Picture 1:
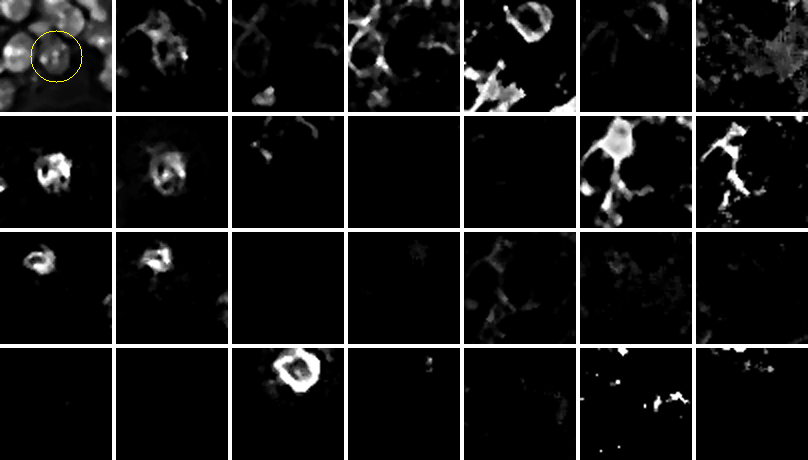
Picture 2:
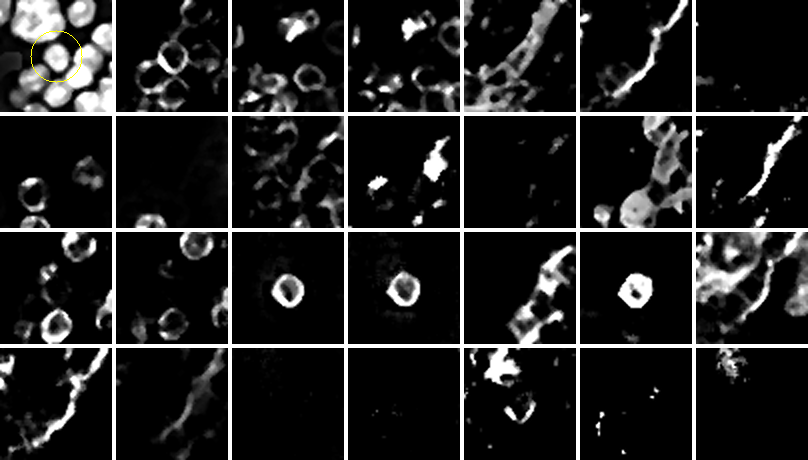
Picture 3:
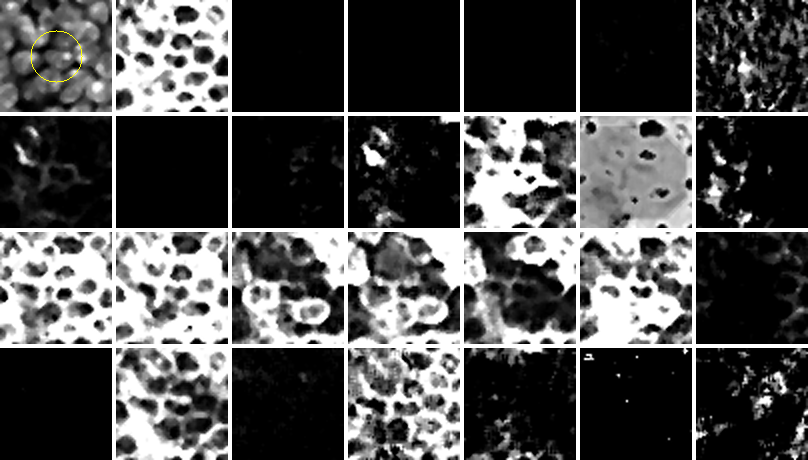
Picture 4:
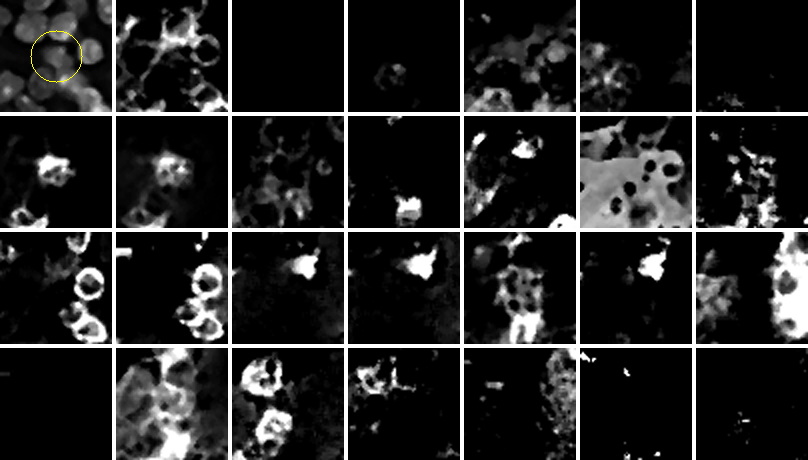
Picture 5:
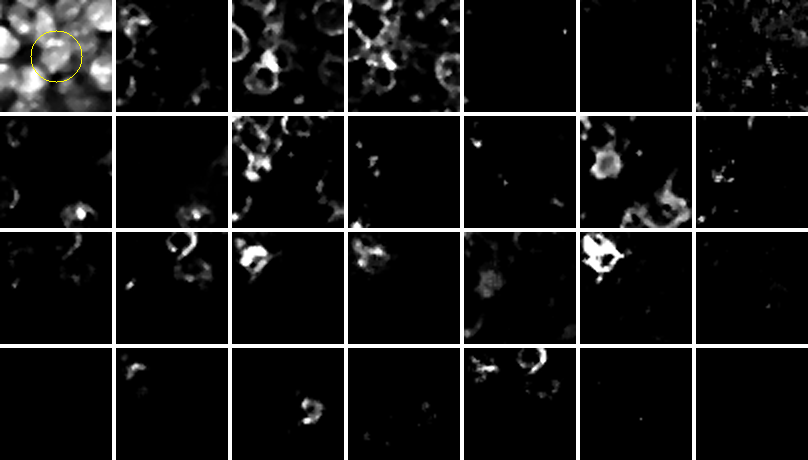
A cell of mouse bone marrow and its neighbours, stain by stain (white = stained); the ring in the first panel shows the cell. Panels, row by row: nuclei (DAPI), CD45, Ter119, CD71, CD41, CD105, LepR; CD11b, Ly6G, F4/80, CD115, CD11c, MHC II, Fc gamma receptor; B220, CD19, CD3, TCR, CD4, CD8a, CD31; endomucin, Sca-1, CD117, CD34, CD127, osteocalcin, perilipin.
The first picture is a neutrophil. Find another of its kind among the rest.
Picture 4.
